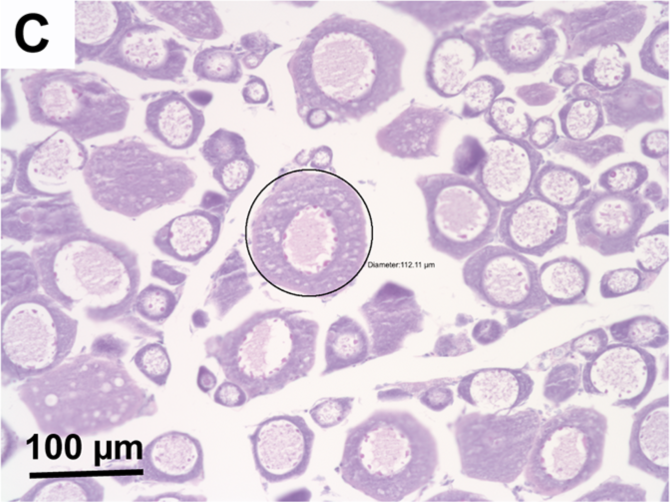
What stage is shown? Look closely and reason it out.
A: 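Follicles are small, mostly under about 120 µm across. Large central nuclei with many nucleoli along their inner edge.
Answer: primary growth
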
